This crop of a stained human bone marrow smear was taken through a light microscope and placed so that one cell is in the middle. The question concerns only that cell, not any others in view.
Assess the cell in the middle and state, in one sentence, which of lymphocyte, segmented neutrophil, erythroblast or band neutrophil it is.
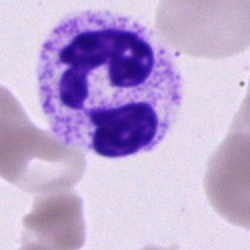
The middle position in this crop is taken by a segmented neutrophil.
